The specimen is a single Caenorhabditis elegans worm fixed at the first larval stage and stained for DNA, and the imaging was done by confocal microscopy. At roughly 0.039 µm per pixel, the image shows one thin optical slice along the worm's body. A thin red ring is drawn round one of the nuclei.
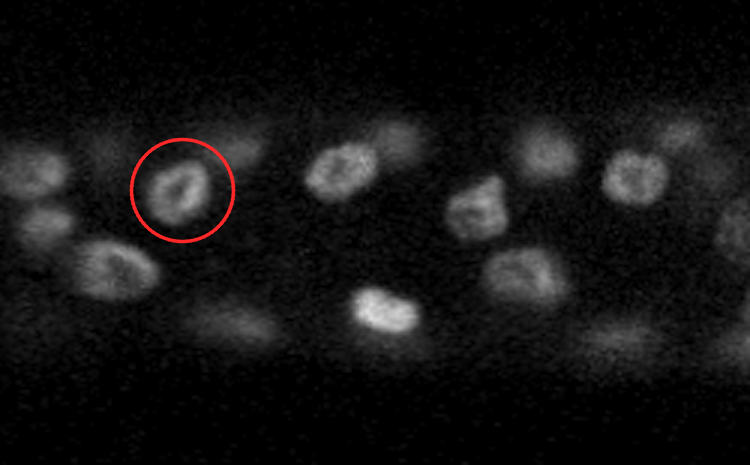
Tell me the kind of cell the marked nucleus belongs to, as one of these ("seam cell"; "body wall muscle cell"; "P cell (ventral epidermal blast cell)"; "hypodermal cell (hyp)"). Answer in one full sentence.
This nucleus is from a seam cell.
